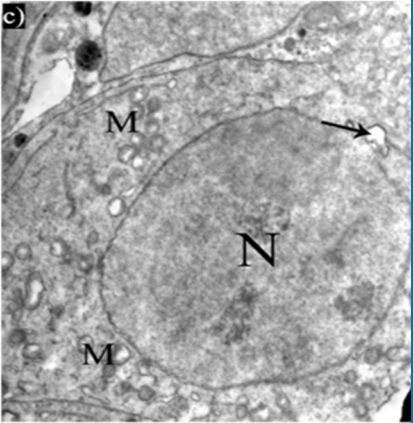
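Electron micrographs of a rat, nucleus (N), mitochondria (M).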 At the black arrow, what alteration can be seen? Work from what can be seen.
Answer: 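Localized dilatation. The arrow points to a small clear bulge at the edge of the nucleus.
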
